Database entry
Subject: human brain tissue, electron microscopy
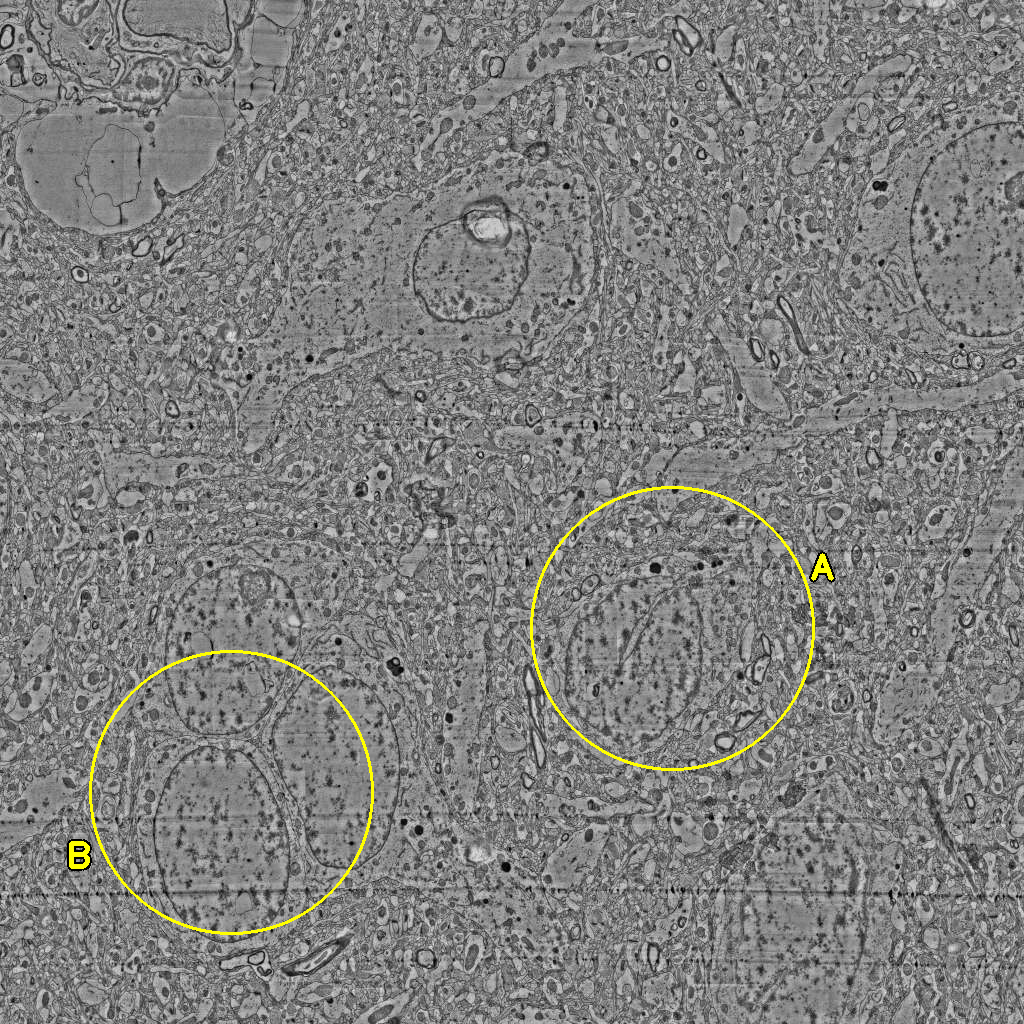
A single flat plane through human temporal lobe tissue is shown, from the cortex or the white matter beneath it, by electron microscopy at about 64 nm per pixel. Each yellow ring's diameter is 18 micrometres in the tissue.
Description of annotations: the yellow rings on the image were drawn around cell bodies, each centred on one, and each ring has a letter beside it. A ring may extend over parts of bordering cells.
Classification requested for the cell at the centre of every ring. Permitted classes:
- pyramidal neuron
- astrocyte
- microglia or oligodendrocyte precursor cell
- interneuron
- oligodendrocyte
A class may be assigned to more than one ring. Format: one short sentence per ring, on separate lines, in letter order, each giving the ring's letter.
The cell body at the centre of ring A is an interneuron.
The cell body at the centre of ring B is a pyramidal neuron.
